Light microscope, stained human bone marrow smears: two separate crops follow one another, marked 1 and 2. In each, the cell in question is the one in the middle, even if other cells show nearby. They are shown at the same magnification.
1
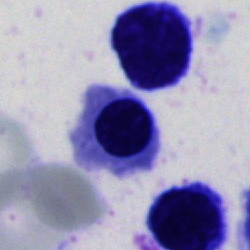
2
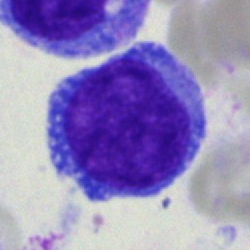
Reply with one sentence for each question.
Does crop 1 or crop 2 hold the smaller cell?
It is the cell in crop 1; the cell in crop 2 has about 3 times its area.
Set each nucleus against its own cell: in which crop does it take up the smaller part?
The nucleus fills less of the cell in crop 1 than in crop 2.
